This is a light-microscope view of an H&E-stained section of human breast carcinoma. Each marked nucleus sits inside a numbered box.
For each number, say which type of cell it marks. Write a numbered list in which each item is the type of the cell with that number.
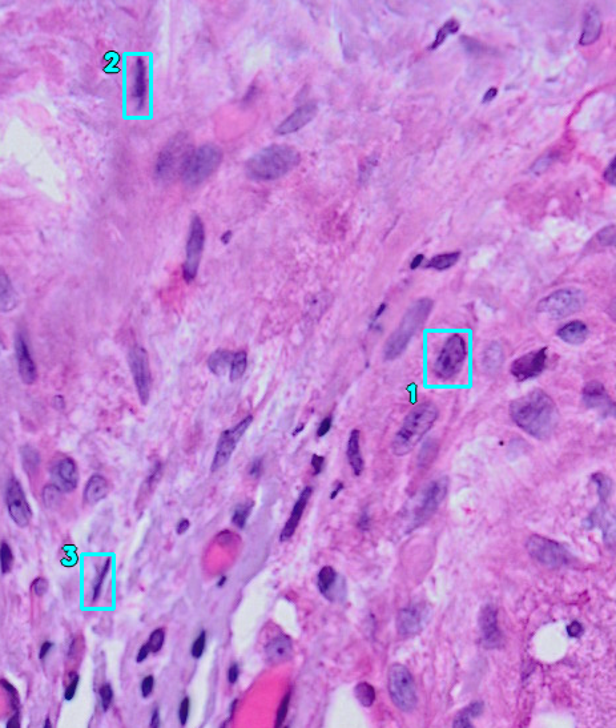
1. macrophage, monocyte or dendritic cell
2. fibroblast
3. fibroblast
